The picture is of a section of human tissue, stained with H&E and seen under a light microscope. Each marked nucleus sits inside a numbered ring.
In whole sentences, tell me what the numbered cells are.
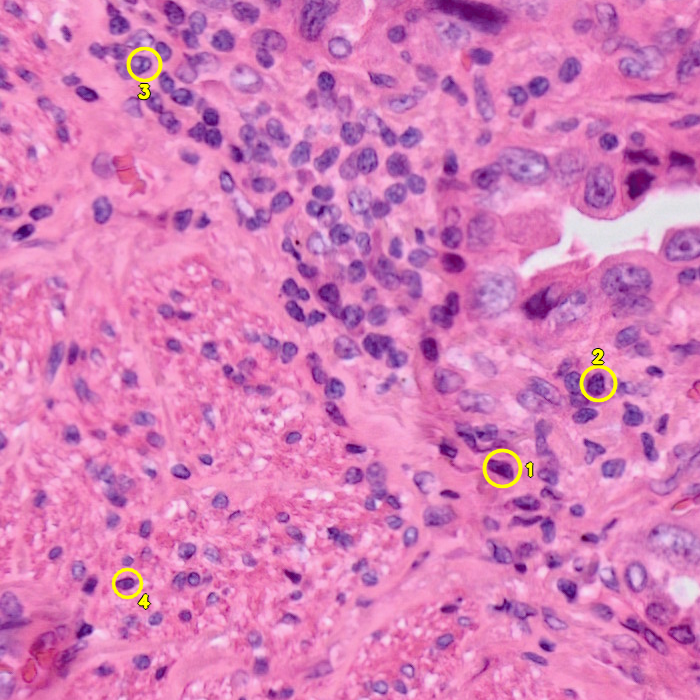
Cells 1 and 2 are plasma cells. Cell 3 is a lymphocyte. Cell 4 is a smooth muscle cell or pericyte.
